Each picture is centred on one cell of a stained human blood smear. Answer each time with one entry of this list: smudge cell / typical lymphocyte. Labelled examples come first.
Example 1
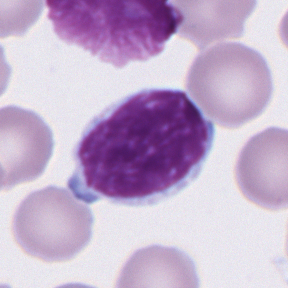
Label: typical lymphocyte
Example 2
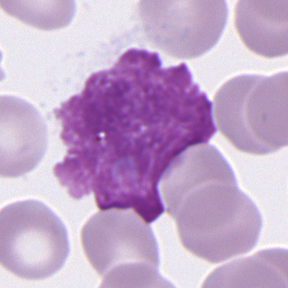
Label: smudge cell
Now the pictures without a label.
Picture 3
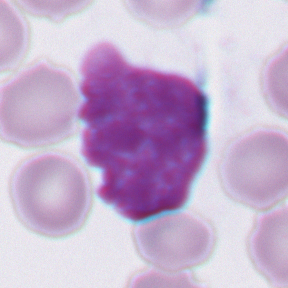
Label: smudge cell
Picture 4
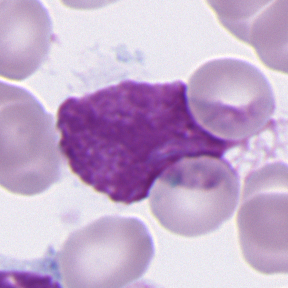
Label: smudge cell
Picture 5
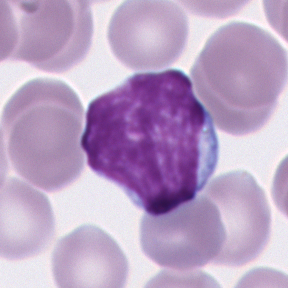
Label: typical lymphocyte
